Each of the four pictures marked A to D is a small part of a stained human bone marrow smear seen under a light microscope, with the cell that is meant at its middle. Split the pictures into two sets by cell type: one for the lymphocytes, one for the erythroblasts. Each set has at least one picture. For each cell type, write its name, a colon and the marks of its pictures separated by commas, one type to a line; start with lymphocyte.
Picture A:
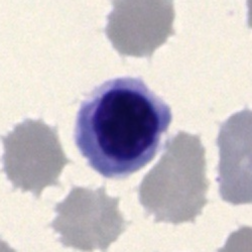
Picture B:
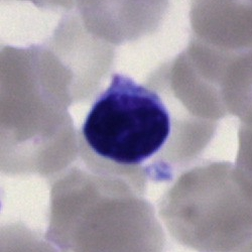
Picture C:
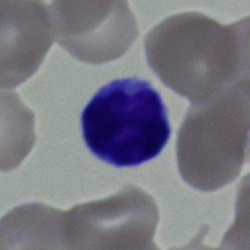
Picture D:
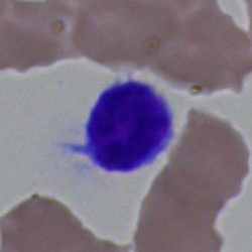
lymphocyte: B, C, D
erythroblast: A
